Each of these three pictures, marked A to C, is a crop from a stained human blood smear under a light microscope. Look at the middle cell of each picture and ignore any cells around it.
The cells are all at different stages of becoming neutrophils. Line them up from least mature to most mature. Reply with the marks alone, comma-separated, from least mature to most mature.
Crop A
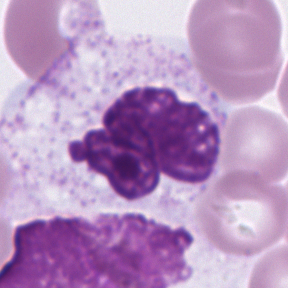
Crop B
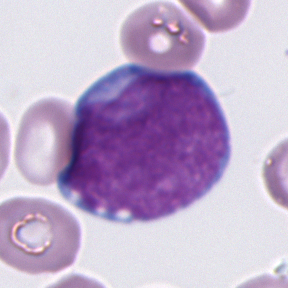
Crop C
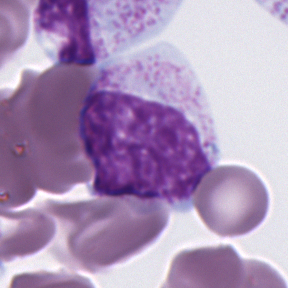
B, C, A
